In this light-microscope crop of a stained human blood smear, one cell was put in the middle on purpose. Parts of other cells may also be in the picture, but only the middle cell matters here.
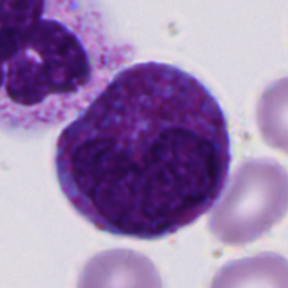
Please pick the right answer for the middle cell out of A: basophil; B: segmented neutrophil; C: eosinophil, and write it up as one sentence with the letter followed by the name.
Option C is the correct selection, for the cell at the centre is an eosinophil.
